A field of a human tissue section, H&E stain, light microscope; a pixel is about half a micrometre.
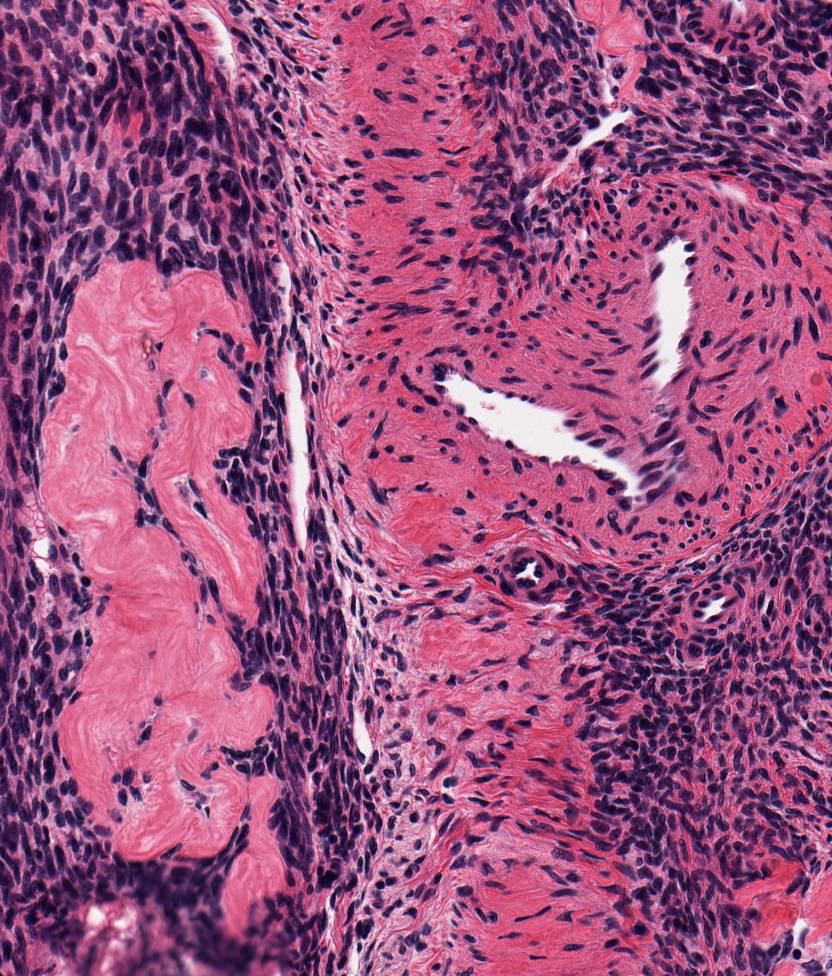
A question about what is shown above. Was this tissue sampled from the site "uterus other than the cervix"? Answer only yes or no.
no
